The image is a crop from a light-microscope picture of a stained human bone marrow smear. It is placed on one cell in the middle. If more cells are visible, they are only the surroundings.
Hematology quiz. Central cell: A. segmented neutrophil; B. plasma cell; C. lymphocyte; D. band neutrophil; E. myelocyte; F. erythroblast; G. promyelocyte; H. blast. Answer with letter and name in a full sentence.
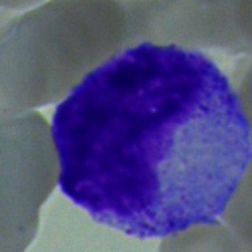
The cell occupying the centre is a promyelocyte; option G is thus the correct choice.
